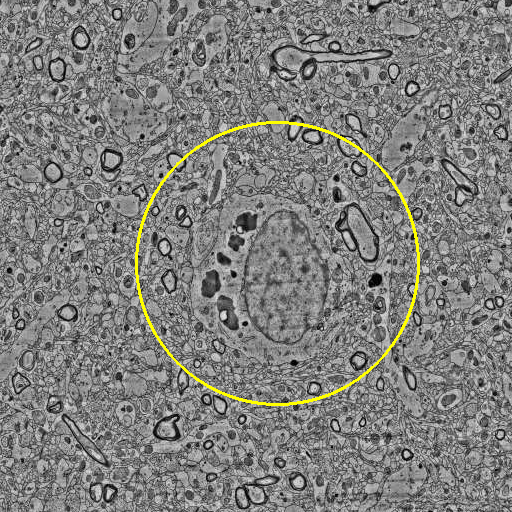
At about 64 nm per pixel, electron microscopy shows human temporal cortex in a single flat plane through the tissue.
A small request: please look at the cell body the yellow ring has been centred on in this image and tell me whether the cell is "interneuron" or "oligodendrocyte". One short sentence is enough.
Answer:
The cell marked by the ring is an interneuron.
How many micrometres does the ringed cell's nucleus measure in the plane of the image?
In this plane the nucleus is roughly 8 by 5 micrometres, clearly longer than it is wide.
